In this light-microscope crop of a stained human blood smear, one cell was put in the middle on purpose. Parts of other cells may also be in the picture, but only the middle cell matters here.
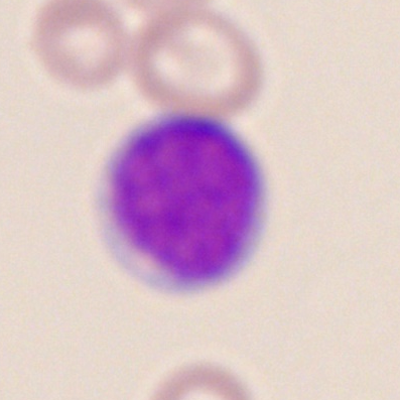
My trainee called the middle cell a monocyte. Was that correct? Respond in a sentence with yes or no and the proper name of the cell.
No, in this crop the middle cell is a lymphocyte, not a monocyte.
